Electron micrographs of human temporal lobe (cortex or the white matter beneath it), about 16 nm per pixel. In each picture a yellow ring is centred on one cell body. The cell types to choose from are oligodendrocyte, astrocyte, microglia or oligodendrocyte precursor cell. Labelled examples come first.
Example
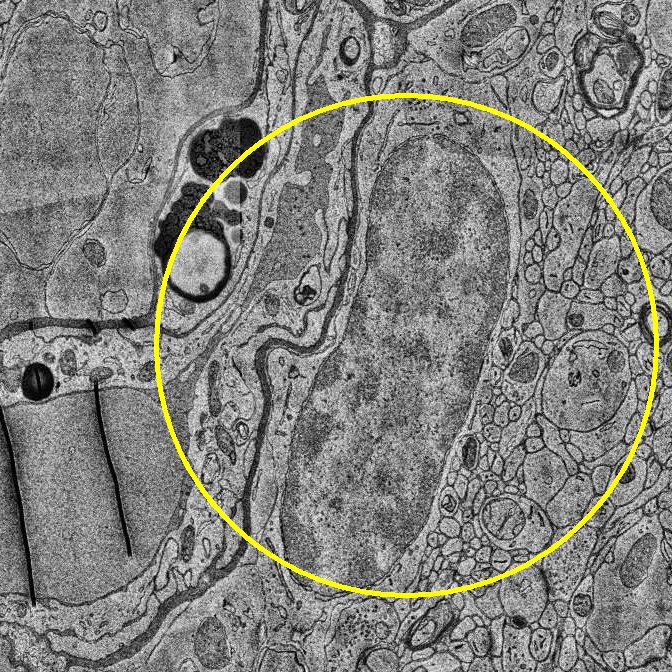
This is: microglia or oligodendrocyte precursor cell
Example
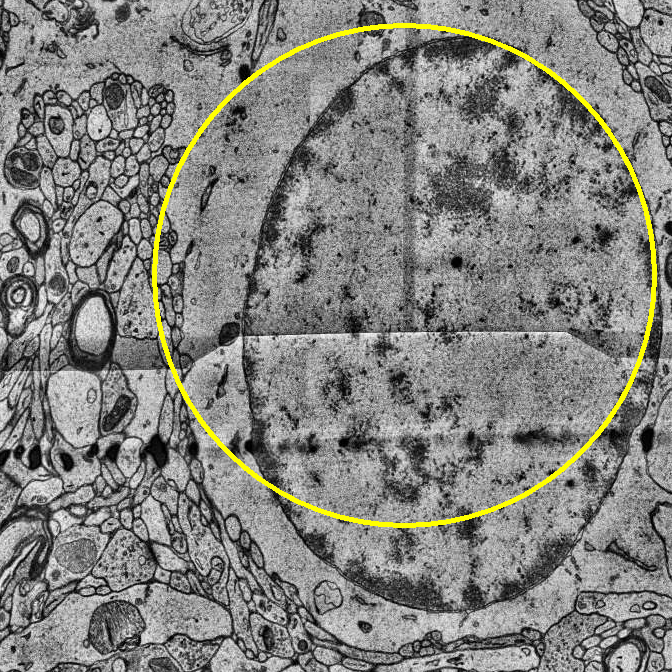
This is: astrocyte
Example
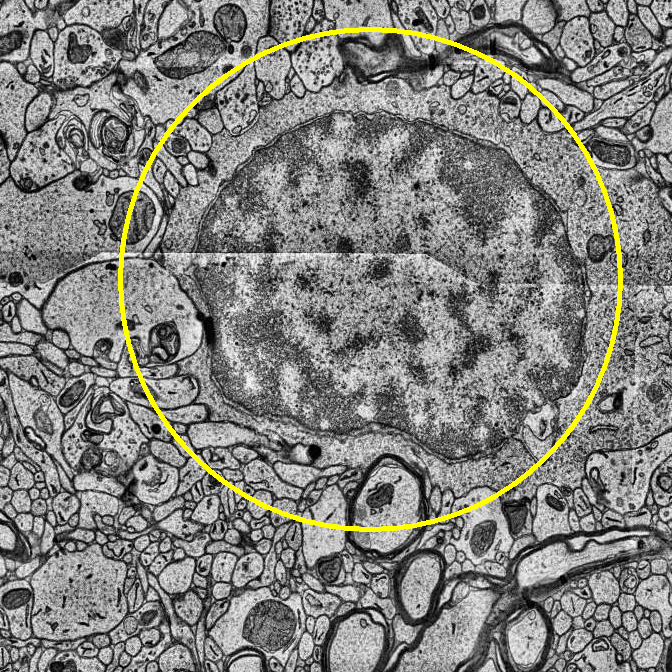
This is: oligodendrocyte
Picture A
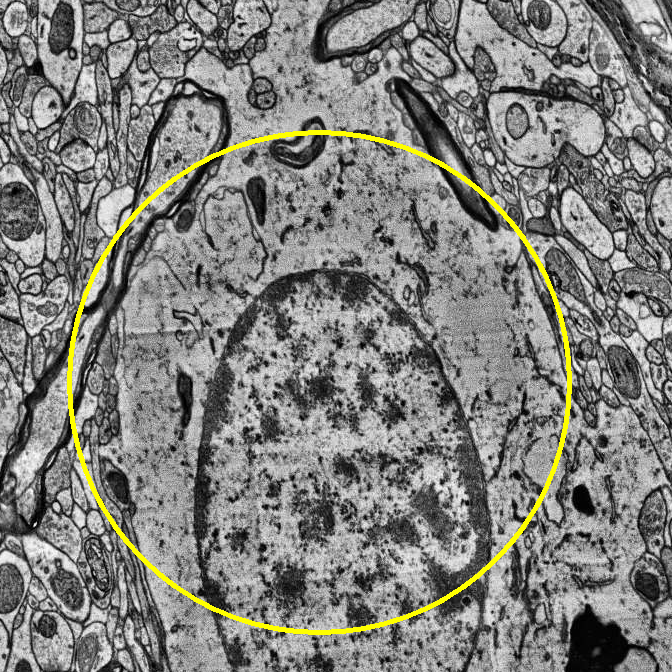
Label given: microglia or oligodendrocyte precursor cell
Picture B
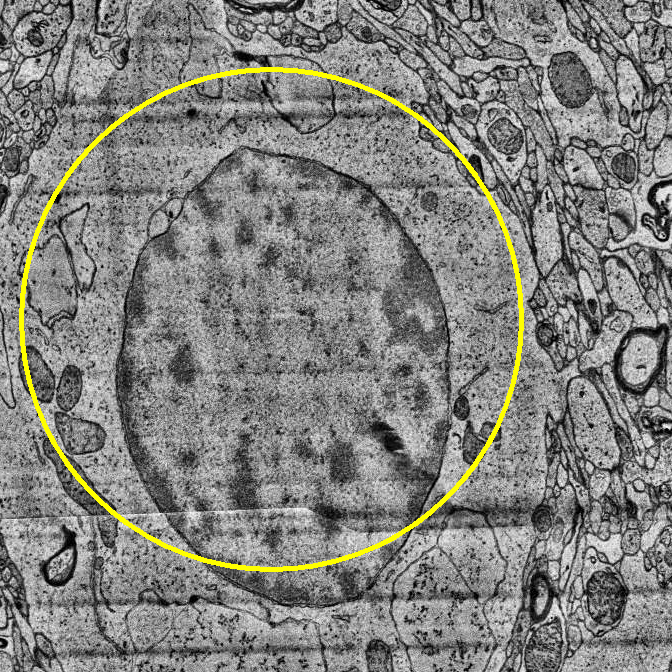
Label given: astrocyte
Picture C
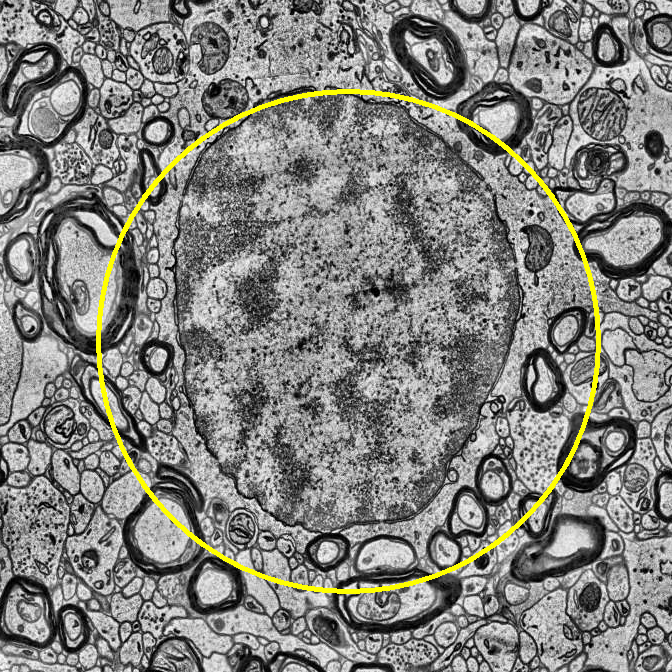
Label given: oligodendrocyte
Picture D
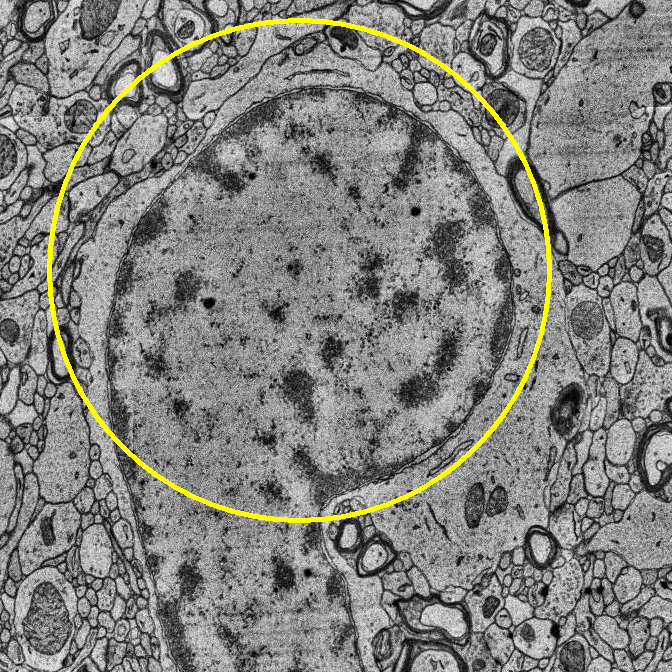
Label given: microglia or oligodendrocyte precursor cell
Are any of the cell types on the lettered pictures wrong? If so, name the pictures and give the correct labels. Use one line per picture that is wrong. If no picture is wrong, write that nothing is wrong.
A: not microglia or oligodendrocyte precursor cell but astrocyte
